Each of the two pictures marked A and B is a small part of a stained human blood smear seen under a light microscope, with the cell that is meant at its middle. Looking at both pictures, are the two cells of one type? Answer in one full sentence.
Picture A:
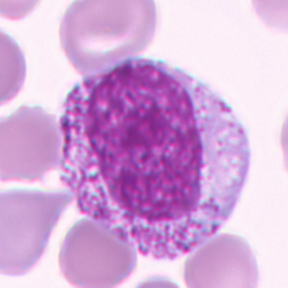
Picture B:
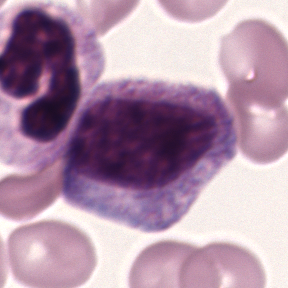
Yes, both cells are myelocytes.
